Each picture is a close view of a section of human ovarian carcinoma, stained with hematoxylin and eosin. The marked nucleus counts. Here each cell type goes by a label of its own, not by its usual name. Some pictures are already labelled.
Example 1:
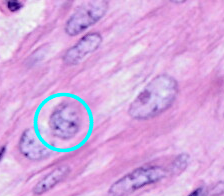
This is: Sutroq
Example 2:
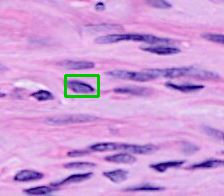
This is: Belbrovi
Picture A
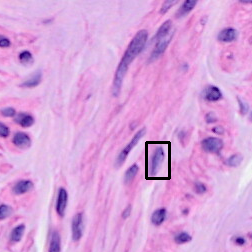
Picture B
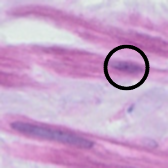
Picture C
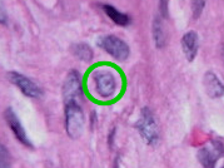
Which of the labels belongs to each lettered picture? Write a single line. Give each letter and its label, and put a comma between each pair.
A Belbrovi, B Belbrovi, C Sutroq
